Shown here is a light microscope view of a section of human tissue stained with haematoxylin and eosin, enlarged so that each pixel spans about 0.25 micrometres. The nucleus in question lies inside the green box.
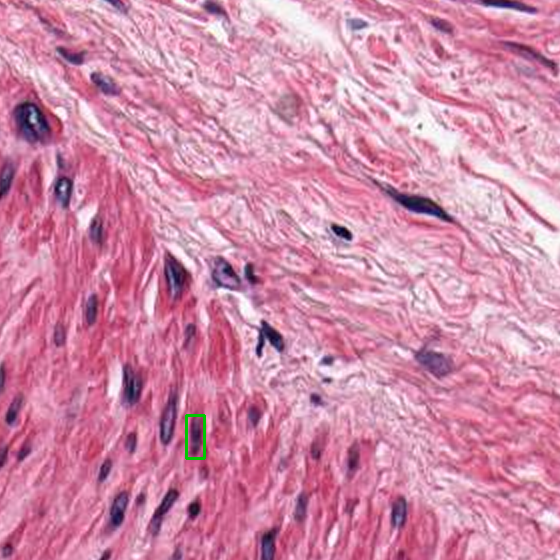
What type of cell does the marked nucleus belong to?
smooth muscle cell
